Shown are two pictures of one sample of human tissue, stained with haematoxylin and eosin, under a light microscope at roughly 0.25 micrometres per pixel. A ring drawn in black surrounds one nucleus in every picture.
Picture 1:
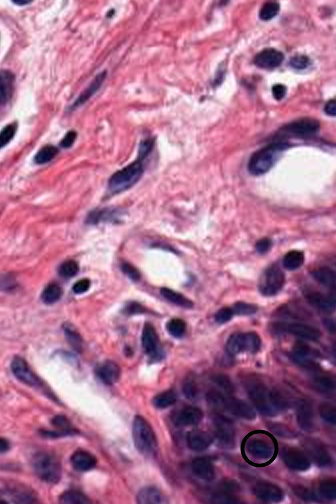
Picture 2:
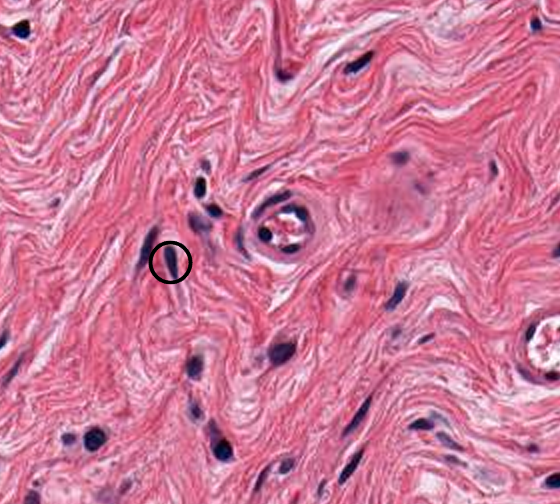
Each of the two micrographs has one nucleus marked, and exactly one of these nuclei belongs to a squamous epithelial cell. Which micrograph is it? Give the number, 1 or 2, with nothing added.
1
